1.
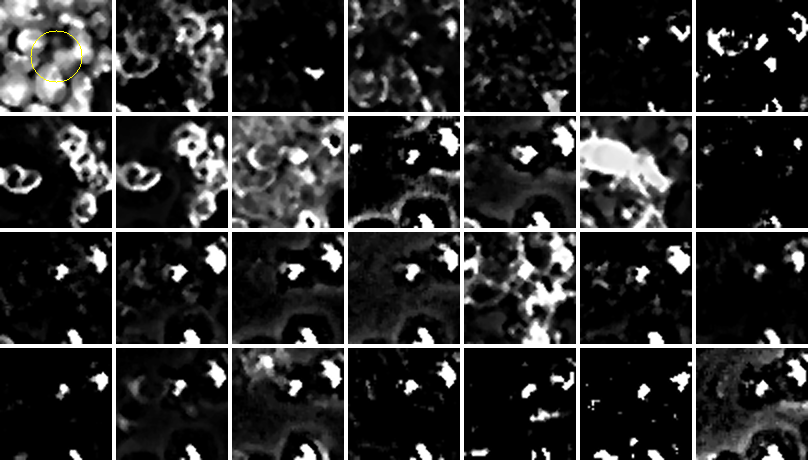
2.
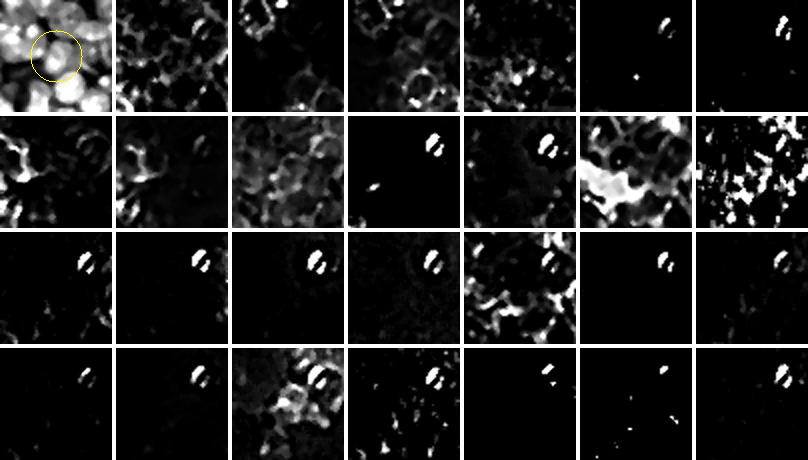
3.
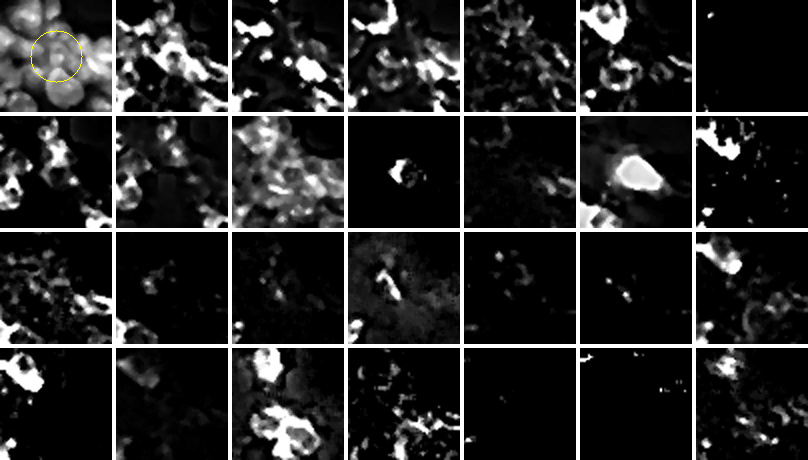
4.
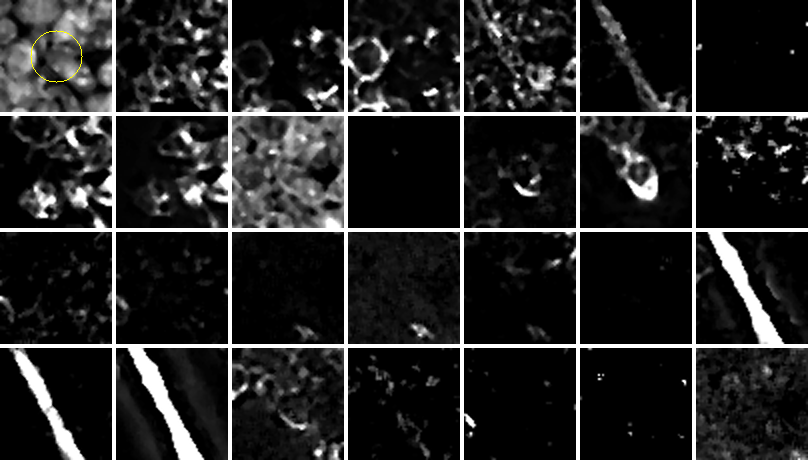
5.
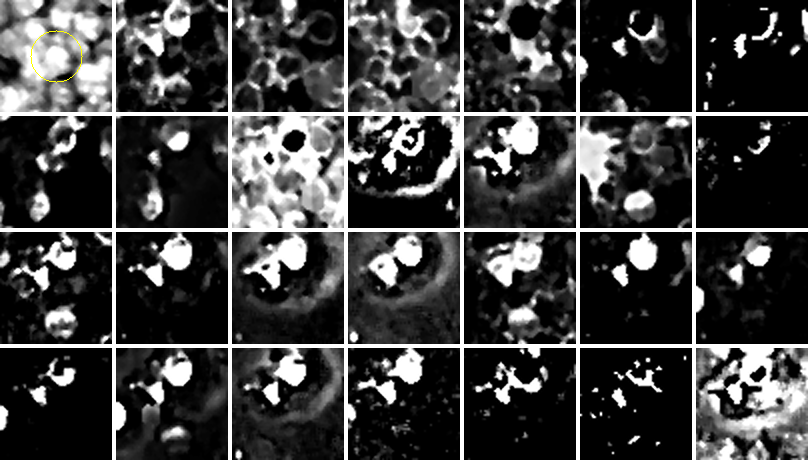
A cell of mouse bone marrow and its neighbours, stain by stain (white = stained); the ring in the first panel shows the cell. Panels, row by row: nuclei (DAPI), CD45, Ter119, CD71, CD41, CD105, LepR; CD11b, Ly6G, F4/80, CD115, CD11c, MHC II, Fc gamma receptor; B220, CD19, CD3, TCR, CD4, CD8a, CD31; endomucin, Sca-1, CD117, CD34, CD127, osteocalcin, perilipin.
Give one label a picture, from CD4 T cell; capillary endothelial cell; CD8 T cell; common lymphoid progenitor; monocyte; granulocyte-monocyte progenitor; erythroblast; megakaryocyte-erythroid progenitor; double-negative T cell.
Picture 1: common lymphoid progenitor
Picture 2: granulocyte-monocyte progenitor
Picture 3: monocyte
Picture 4: capillary endothelial cell
Picture 5: monocyte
